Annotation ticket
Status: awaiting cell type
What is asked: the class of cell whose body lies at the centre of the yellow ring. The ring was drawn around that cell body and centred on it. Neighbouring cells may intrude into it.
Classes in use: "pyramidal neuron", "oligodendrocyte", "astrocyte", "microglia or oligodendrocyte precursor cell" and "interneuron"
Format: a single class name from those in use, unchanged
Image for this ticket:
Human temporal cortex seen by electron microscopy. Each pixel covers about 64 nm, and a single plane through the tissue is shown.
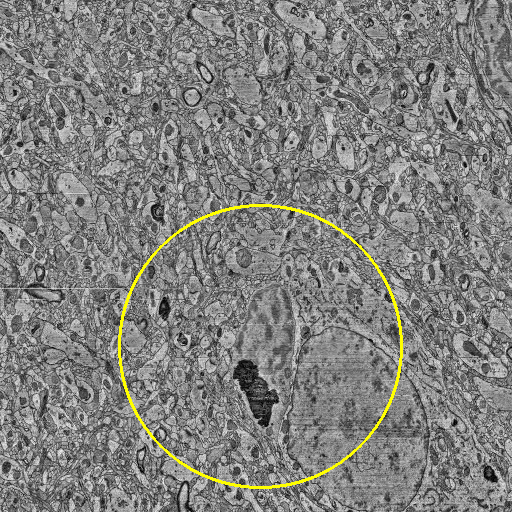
oligodendrocyte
